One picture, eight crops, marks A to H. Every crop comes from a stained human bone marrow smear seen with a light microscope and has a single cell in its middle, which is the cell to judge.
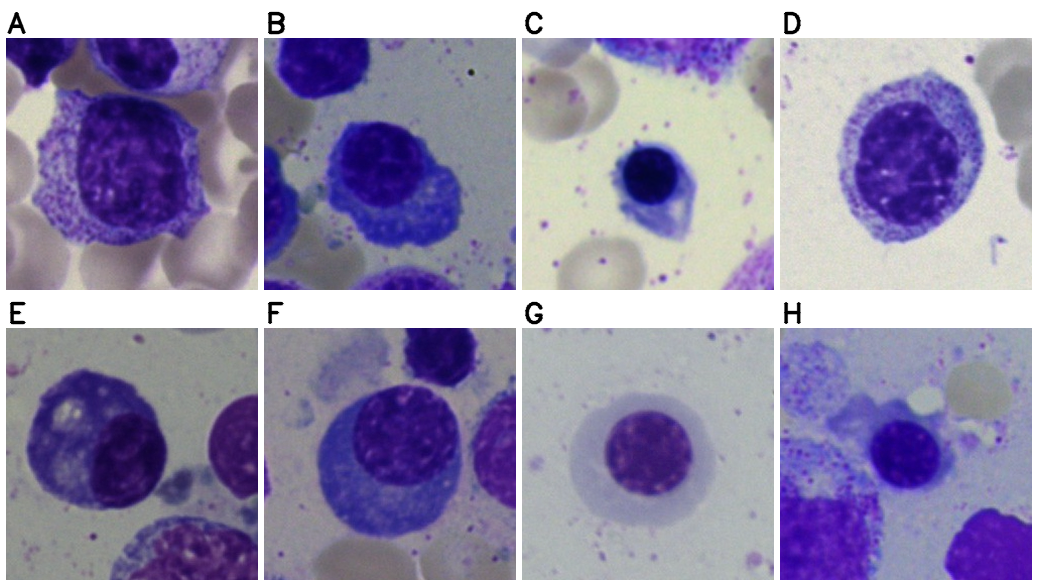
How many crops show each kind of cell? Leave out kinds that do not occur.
plasma cell: 3
normoblast: 3
myelocyte: 2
